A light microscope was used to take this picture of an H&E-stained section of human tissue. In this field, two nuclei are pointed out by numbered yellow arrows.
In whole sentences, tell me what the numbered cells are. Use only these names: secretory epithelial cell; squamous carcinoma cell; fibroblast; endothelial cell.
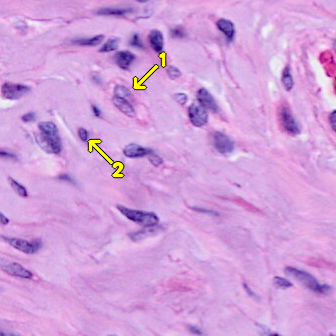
Cell 1 is an endothelial cell. Cell 2 is a fibroblast.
